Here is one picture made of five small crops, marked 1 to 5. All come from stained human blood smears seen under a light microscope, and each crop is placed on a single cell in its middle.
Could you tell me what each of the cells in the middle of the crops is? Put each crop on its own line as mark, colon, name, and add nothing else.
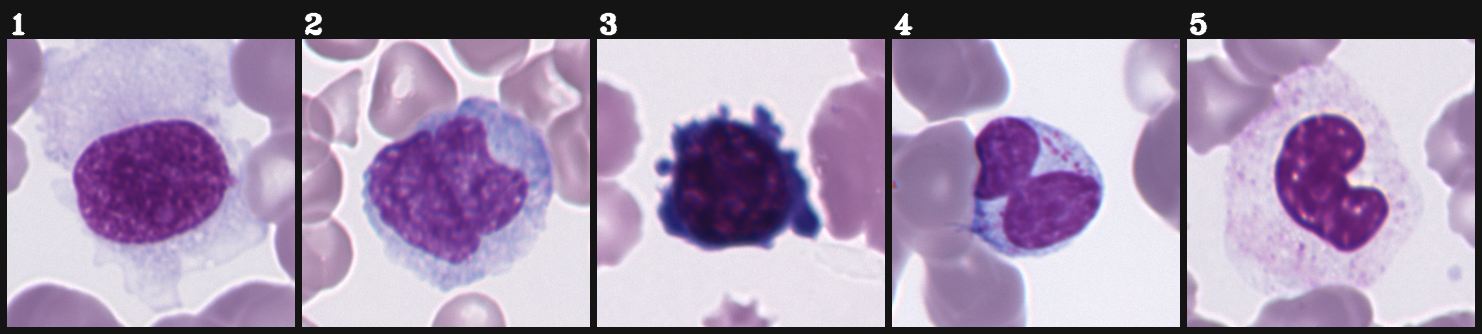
1: hairy cell
2: monocyte
3: normoblast
4: large granular lymphocyte
5: band neutrophil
